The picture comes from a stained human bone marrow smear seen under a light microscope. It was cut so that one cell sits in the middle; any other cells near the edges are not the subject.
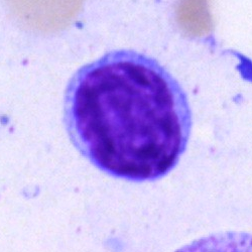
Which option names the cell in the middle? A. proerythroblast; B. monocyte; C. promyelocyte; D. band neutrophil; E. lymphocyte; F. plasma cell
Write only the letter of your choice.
E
